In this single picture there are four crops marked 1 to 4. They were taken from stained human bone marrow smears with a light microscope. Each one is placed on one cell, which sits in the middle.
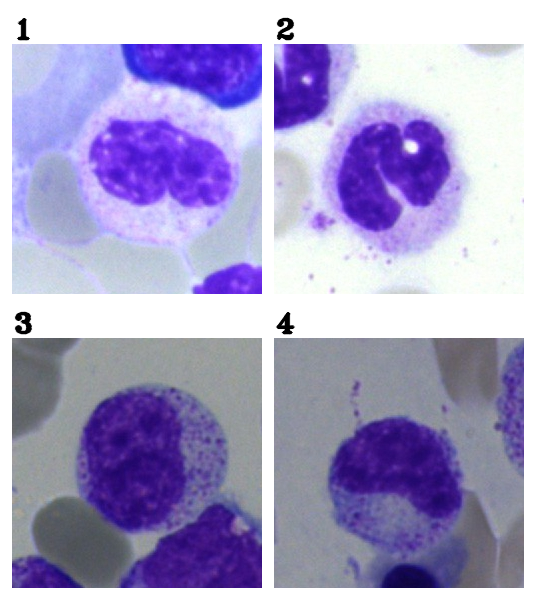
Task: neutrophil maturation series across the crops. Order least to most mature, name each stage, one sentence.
From youngest to most mature, the cells go crop 3 (a myelocyte), crop 4 (a metamyelocyte), crop 1 (a band neutrophil) and crop 2 (a segmented neutrophil).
